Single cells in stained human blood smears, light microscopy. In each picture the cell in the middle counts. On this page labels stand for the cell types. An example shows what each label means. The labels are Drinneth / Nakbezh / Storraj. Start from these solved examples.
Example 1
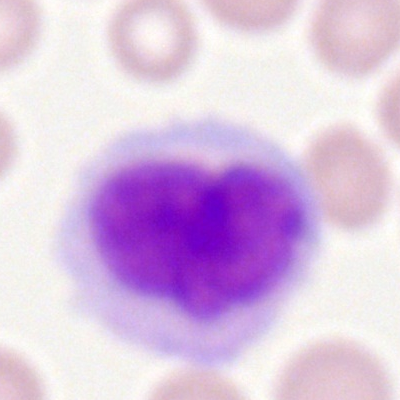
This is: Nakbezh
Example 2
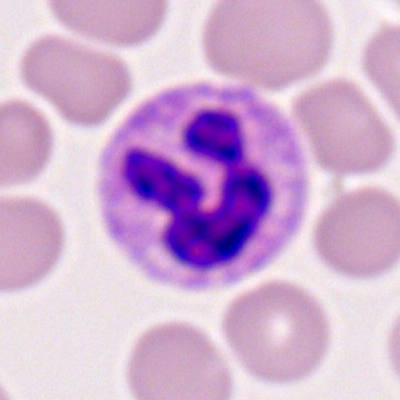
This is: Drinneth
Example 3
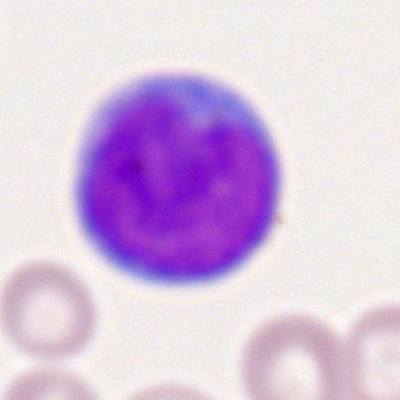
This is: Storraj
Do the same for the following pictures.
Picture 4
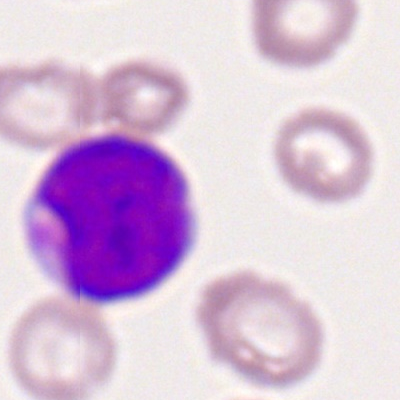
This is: Storraj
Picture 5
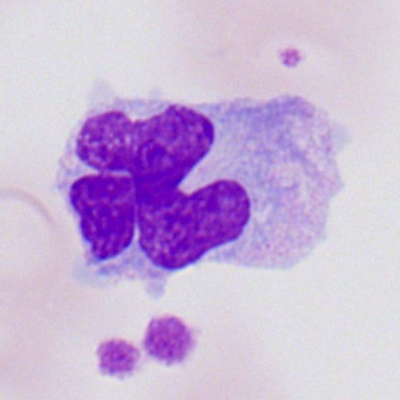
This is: Nakbezh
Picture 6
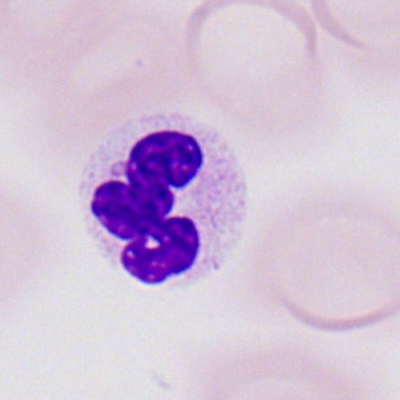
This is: Drinneth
